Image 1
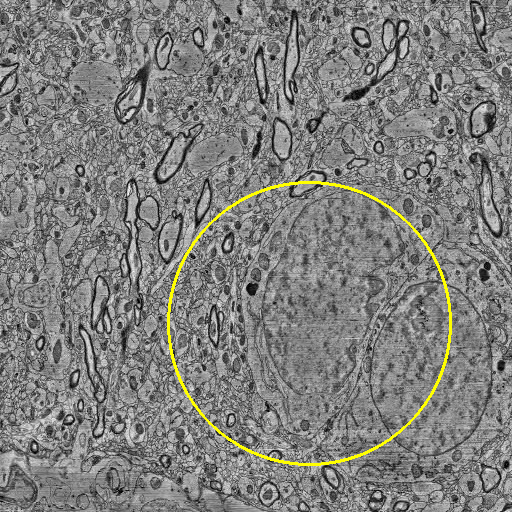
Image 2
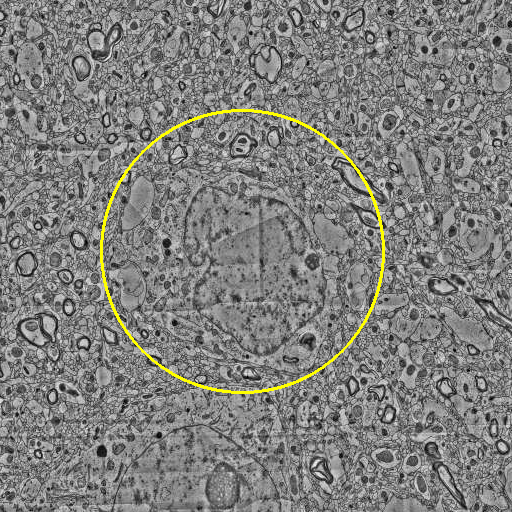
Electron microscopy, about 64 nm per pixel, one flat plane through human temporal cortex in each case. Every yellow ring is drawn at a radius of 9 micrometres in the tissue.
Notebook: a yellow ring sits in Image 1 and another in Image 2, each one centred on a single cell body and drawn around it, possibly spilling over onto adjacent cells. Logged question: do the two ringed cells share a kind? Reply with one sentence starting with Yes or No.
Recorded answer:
Yes, both centre cells inside the rings of Image 1 and Image 2 share one kind.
